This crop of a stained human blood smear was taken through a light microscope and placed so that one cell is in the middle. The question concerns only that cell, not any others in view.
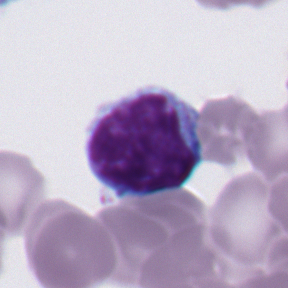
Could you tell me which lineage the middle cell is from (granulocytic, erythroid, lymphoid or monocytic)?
lymphoid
